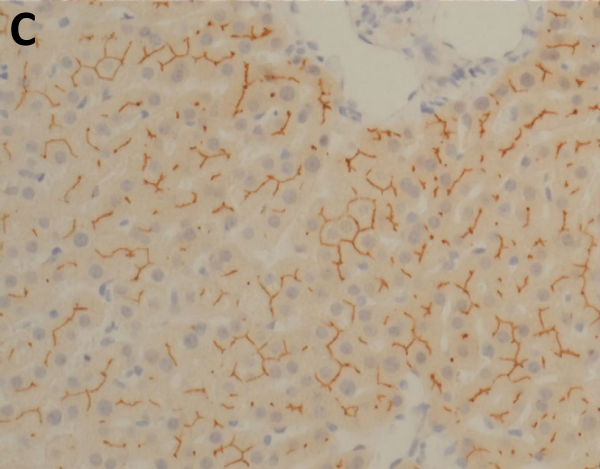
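Liver parenchyma made of plates of hepatocytes, with a vessel lumen at the top. The hepatocytes have pale, lightly tinted cytoplasm and round, pale blue nuclei. The cytoplasm itself stays largely unstained. Narrow sinusoidal spaces with a few small, elongated, darker nuclei lie between the plates, and the connective tissue around the vessel at the top carries no brown staining.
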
